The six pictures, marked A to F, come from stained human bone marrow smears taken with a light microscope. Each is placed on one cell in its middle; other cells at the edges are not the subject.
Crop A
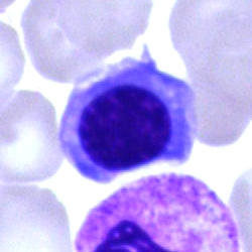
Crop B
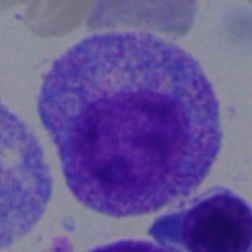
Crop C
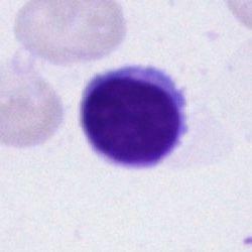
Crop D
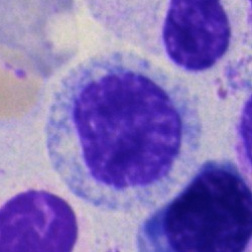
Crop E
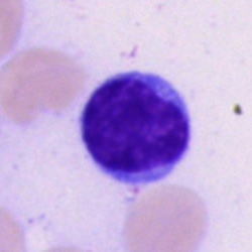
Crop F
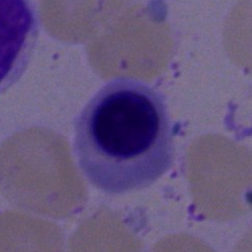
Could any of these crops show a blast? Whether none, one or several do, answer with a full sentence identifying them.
No crop at all in this series shows a blast.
